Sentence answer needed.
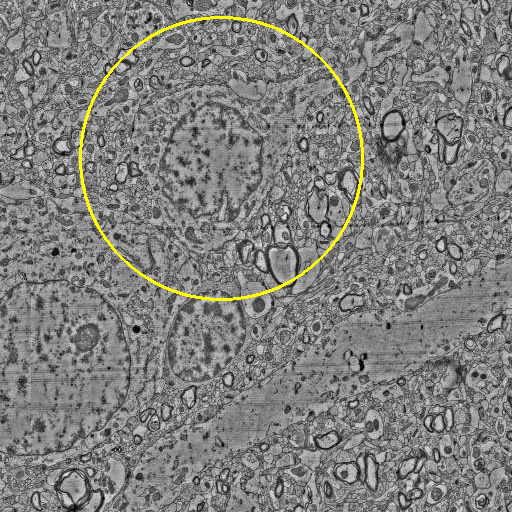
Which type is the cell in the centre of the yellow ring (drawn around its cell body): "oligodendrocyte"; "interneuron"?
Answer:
In the centre of the yellow ring is an interneuron.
